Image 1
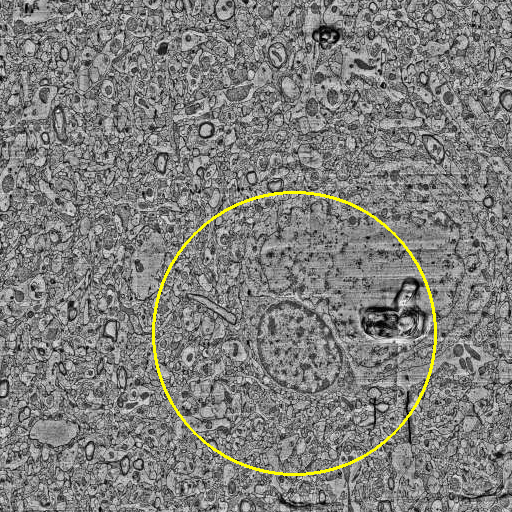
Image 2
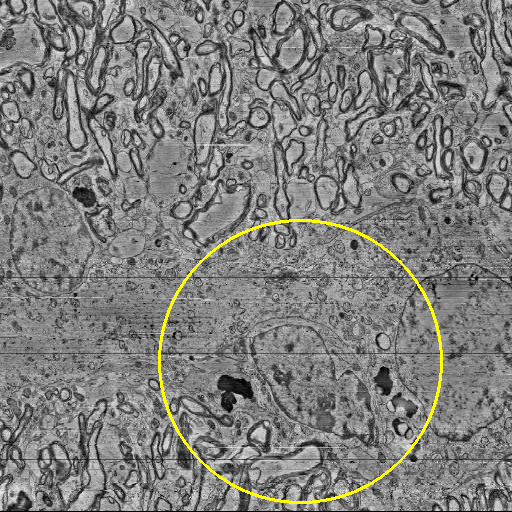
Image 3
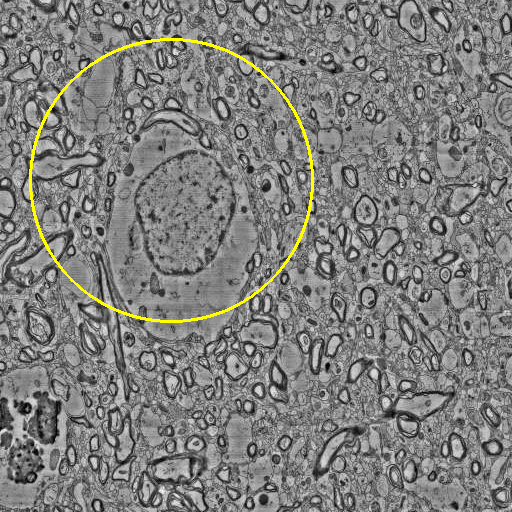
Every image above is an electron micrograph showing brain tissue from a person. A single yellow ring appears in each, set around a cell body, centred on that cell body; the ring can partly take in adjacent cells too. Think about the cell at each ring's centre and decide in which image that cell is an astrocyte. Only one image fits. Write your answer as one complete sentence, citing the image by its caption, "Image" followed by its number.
Image 3 is the one whose ringed central cell fits the description.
